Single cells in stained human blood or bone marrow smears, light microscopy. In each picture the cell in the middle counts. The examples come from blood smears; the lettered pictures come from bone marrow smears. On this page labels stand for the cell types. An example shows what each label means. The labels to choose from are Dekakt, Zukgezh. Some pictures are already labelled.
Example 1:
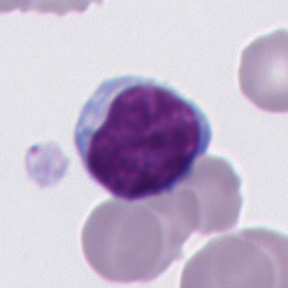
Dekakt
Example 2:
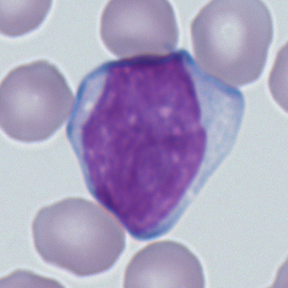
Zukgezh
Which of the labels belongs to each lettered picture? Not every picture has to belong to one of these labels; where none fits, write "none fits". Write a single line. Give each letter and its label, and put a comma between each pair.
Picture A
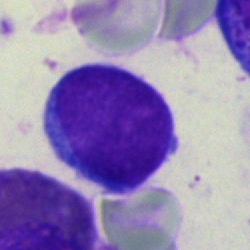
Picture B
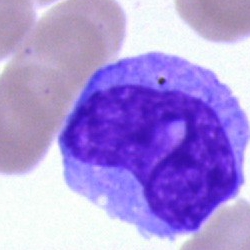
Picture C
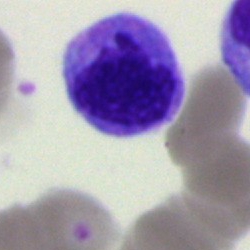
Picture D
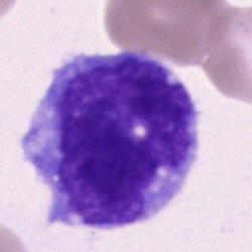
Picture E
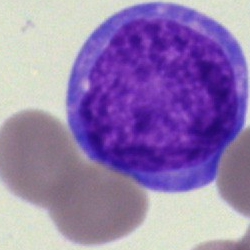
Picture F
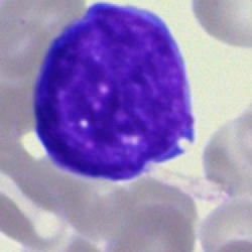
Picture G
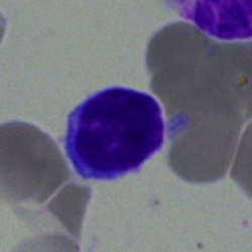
A Dekakt, B none fits, C none fits, D none fits, E Zukgezh, F Zukgezh, G Dekakt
